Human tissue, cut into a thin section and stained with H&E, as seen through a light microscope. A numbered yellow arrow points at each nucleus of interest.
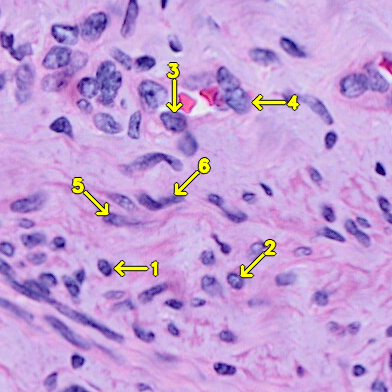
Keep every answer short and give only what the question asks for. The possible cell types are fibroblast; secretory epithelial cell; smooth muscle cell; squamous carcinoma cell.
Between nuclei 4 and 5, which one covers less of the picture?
5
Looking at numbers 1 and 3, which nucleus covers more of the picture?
3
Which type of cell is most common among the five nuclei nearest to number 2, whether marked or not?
smooth muscle cell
